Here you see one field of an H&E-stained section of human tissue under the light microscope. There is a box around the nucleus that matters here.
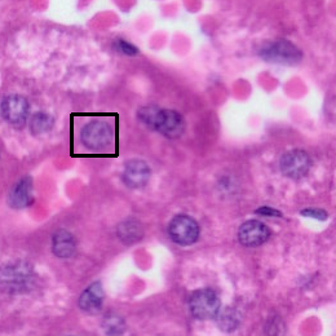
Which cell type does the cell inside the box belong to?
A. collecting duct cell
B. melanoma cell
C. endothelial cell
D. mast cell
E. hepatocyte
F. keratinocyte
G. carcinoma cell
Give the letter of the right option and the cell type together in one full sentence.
Answer with option E; the cell inside the box is a hepatocyte.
